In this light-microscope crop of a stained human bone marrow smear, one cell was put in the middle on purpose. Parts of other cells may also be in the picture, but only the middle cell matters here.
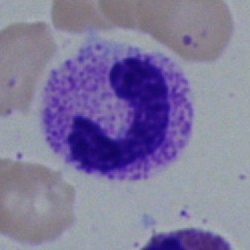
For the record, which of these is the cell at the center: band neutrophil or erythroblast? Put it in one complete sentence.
What the crop centres on is a band neutrophil.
